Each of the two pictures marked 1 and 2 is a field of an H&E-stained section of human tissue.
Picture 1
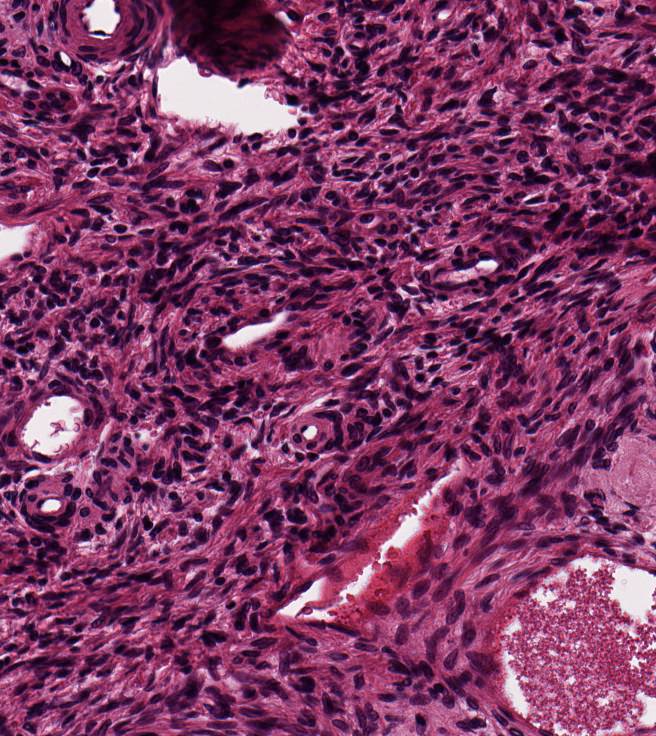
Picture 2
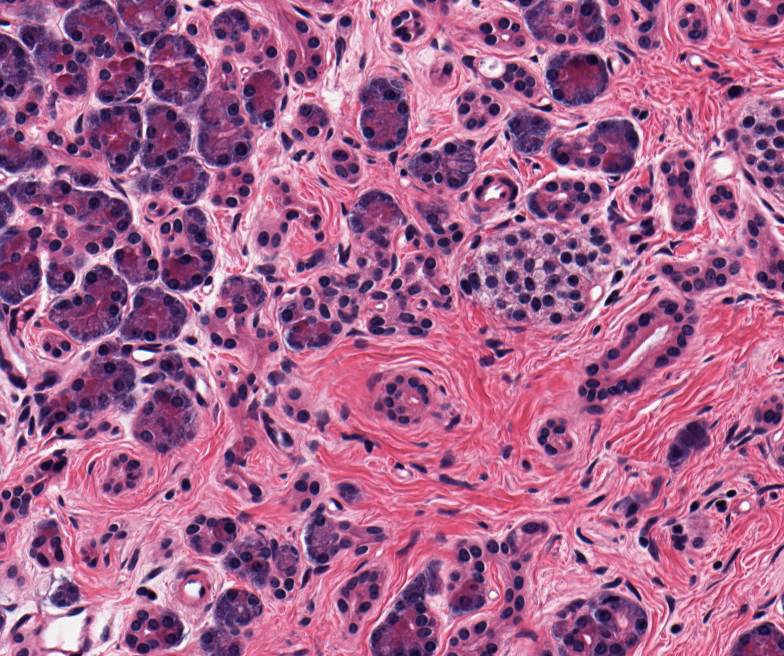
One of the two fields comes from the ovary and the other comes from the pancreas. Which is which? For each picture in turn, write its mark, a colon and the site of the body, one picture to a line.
1: ovary
2: pancreas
